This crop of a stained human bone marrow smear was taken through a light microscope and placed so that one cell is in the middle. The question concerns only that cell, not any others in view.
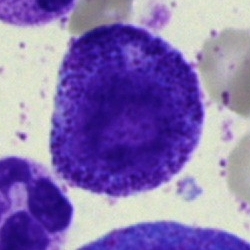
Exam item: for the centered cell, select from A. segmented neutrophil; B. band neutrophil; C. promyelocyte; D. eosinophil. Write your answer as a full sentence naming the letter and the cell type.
The central cell is a promyelocyte, which makes option C the right answer.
